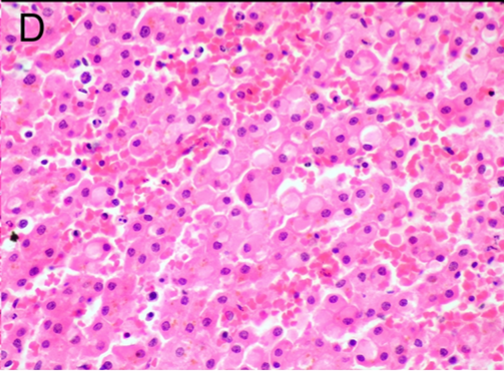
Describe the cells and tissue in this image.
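This is liver, and nearly the whole field is made of hepatocytes: polygonal cells with a single round, dark purple, central nucleus and pink cytoplasm. Look at how many of them are swollen by one rounded, lightly pink inclusion that fills much of the cytoplasm and gives the cell a bubbly, glassy look.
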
